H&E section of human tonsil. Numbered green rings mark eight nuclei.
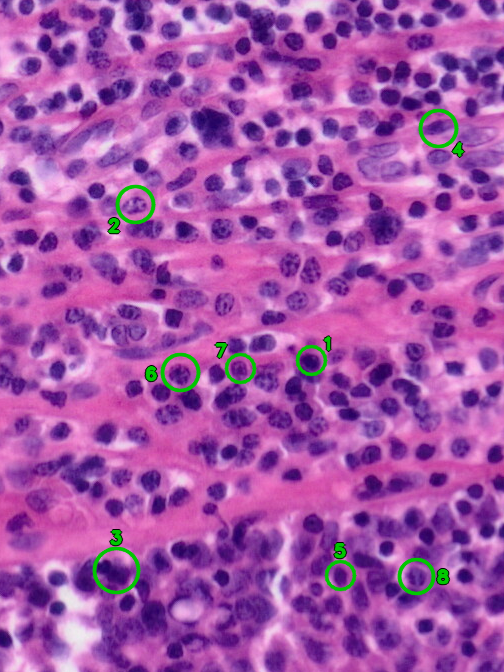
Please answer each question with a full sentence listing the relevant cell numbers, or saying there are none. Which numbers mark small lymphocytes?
From first to last, the numbered cells include no small lymphocytes.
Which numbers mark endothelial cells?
Cell 4 is an endothelial cell, and it is the only numbered cell that is.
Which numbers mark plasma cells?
The cells that have numbers 1, 2, 6 and 7 are plasma cells.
